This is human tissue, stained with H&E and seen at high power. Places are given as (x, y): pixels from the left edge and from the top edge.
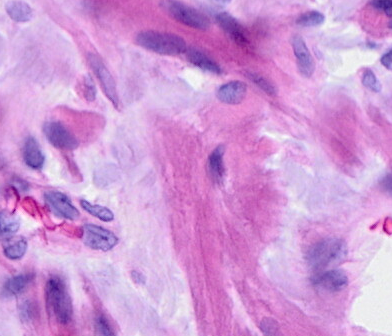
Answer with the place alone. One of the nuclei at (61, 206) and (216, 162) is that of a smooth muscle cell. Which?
(216, 162)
